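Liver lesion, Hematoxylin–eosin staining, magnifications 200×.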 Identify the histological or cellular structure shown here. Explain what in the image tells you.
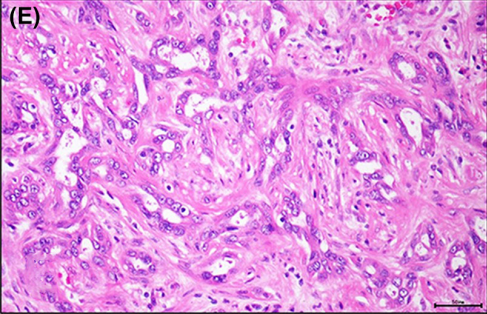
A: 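Dense pink fibrous stroma fills the space between the glands. Stroma contains scattered elongated spindle-shaped nuclei. On this evidence: desmoplastic stromal reaction.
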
